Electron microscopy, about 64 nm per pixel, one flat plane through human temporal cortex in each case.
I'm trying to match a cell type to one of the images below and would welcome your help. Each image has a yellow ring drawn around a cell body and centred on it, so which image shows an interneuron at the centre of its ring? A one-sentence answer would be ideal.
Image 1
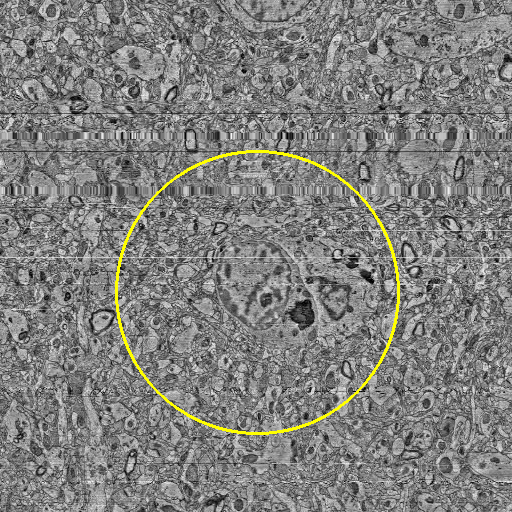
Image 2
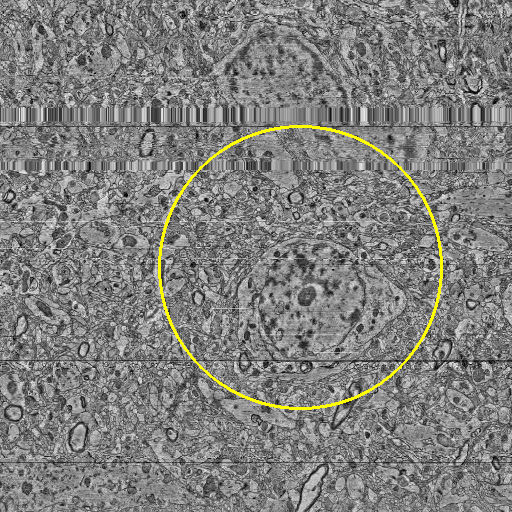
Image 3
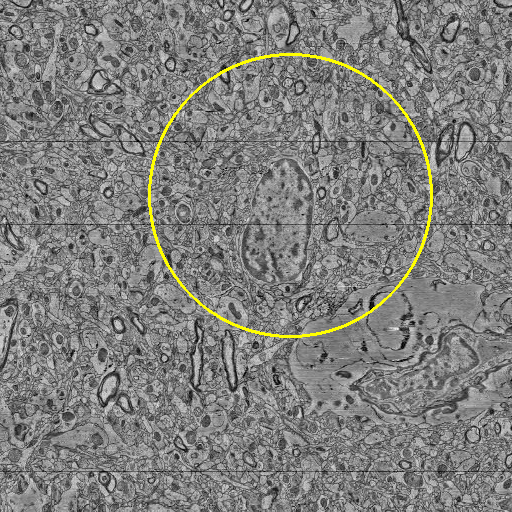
Image 2 shows it at the centre of the ring.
